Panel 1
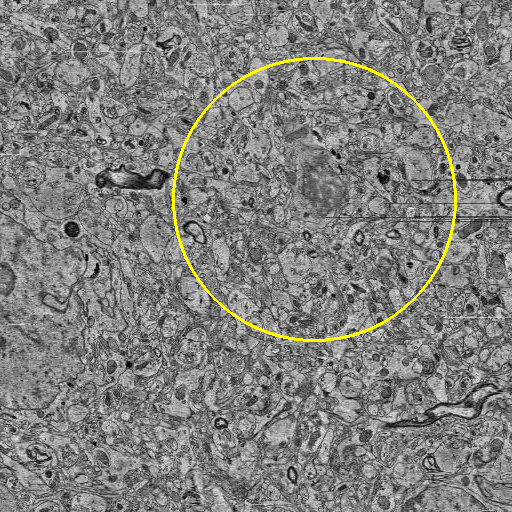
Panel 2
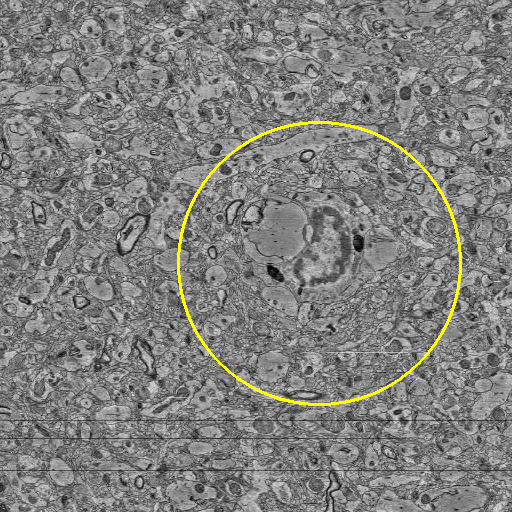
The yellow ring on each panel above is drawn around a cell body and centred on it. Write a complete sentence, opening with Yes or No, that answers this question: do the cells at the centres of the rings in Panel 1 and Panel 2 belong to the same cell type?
No, the two cells belong to two cell types.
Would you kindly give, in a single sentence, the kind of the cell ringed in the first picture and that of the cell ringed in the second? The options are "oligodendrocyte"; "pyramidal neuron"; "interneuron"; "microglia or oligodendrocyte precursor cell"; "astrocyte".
The second cell is a microglial cell or oligodendrocyte precursor cell, and the first cell is an oligodendrocyte.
